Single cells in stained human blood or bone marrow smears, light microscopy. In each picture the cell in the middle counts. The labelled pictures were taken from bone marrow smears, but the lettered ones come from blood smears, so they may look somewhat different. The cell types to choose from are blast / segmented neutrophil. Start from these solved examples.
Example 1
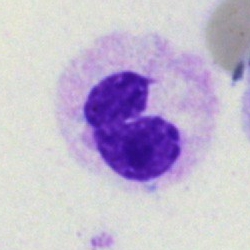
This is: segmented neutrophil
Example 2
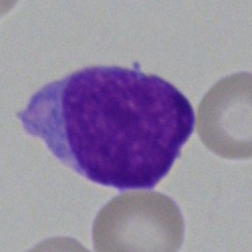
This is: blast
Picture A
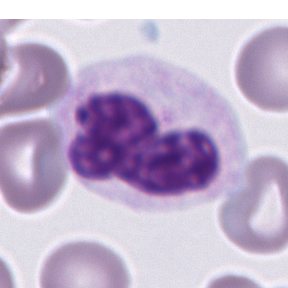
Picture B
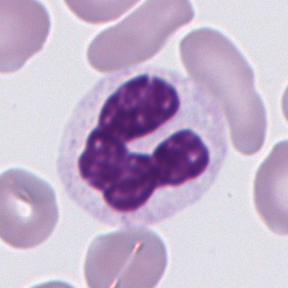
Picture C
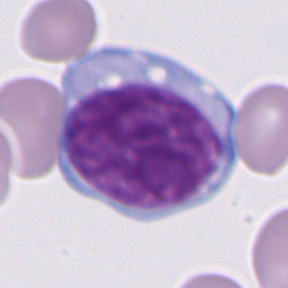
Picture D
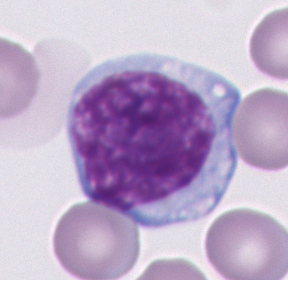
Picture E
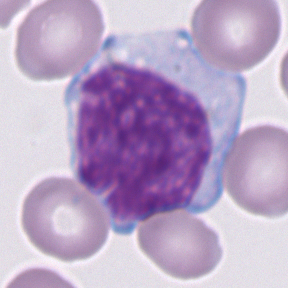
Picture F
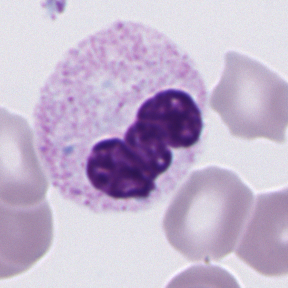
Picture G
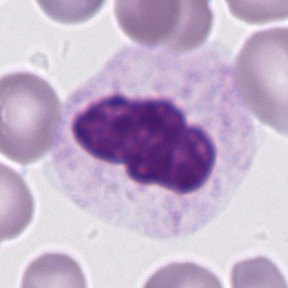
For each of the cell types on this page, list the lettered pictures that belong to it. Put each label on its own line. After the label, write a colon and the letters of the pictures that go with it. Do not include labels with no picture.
blast: C, D, E
segmented neutrophil: A, B, F, G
